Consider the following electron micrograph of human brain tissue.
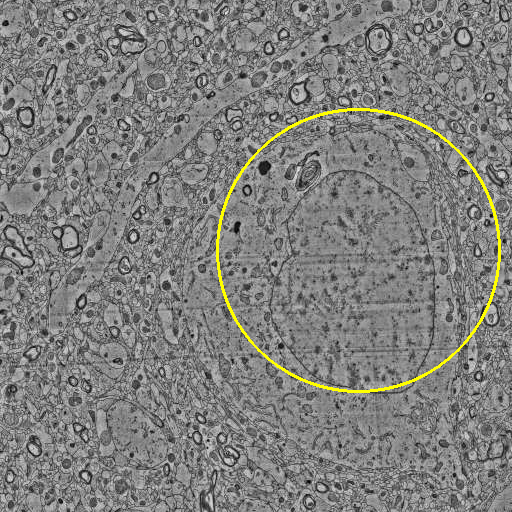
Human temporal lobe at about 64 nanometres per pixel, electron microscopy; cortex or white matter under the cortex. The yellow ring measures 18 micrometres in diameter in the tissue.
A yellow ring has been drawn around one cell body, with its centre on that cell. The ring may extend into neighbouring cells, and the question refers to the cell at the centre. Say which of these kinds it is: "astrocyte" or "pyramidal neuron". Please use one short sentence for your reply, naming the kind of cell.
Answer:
The centre of the ring falls on a pyramidal neuron.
